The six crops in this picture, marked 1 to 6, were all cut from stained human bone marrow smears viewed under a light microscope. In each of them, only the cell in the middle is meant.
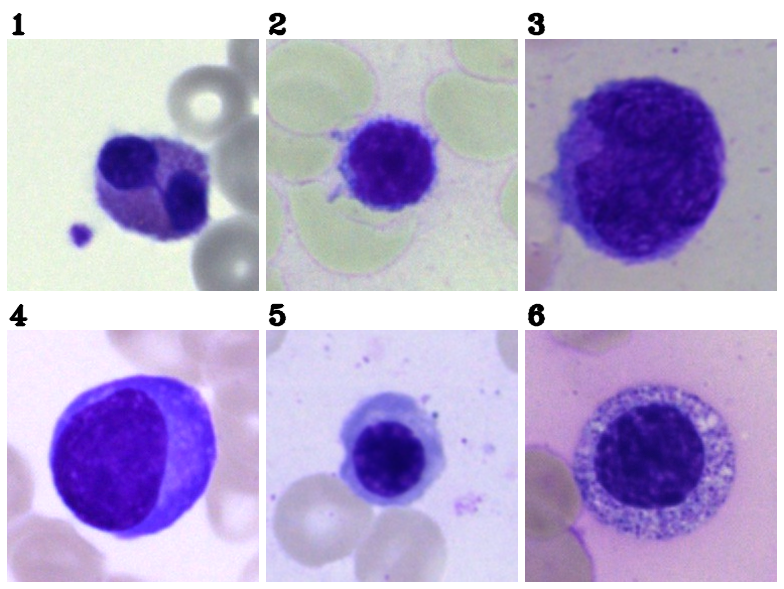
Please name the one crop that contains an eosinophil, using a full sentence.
In this series, an eosinophil is shown by crop 1.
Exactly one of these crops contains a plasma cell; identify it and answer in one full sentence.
Among the crops given, only crop 4 shows a plasma cell.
